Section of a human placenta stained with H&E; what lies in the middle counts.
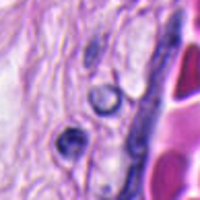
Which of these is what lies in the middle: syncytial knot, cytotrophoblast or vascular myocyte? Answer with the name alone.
vascular myocyte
